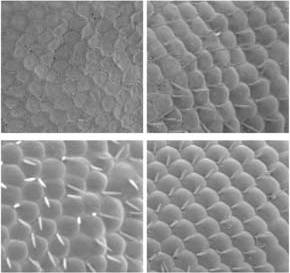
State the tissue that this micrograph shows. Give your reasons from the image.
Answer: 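Surface covered by rounded, domed facets packed side by side. Facets arranged in regular rows in several images. Fine bristles project between the facets. That points to this answer: fly eyes.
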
